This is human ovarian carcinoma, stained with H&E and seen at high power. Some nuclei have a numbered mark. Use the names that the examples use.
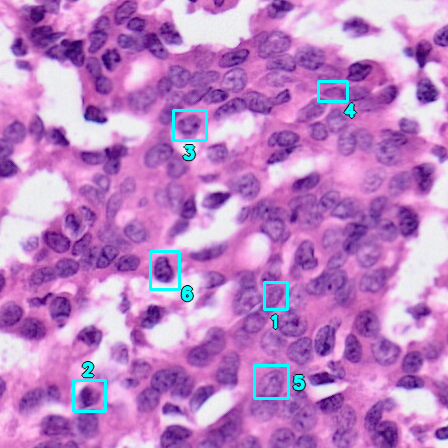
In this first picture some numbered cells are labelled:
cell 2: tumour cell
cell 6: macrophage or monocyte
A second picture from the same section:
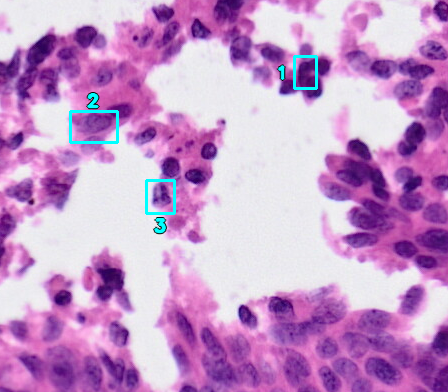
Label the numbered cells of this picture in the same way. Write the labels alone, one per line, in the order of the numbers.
tumour cell
tumour cell
macrophage or monocyte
